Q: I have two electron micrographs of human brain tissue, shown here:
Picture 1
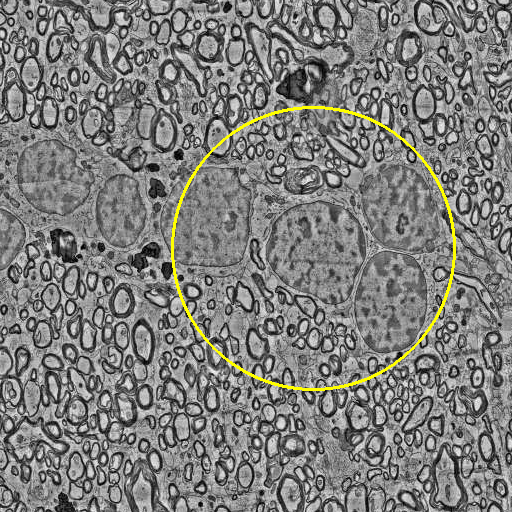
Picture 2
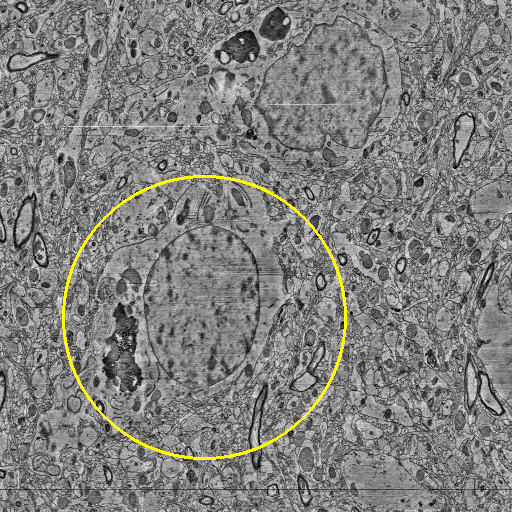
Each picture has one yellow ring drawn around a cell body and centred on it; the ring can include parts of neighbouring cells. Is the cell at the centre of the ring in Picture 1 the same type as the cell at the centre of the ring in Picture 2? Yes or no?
no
